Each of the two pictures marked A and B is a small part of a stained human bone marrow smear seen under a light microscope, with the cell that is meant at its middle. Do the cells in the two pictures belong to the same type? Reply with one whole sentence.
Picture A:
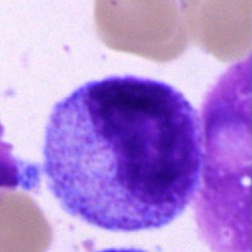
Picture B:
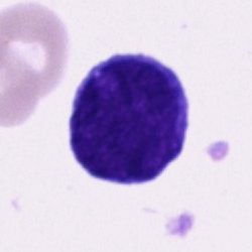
No, the types are not the same, since picture A shows a promyelocyte and picture B a blast.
